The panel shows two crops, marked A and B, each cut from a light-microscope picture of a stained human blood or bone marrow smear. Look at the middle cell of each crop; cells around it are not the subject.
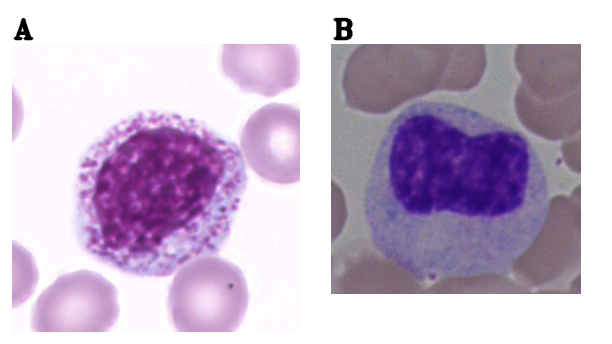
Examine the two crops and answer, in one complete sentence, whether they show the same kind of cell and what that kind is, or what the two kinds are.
Yes, both crops here show metamyelocytes, the pair of them.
